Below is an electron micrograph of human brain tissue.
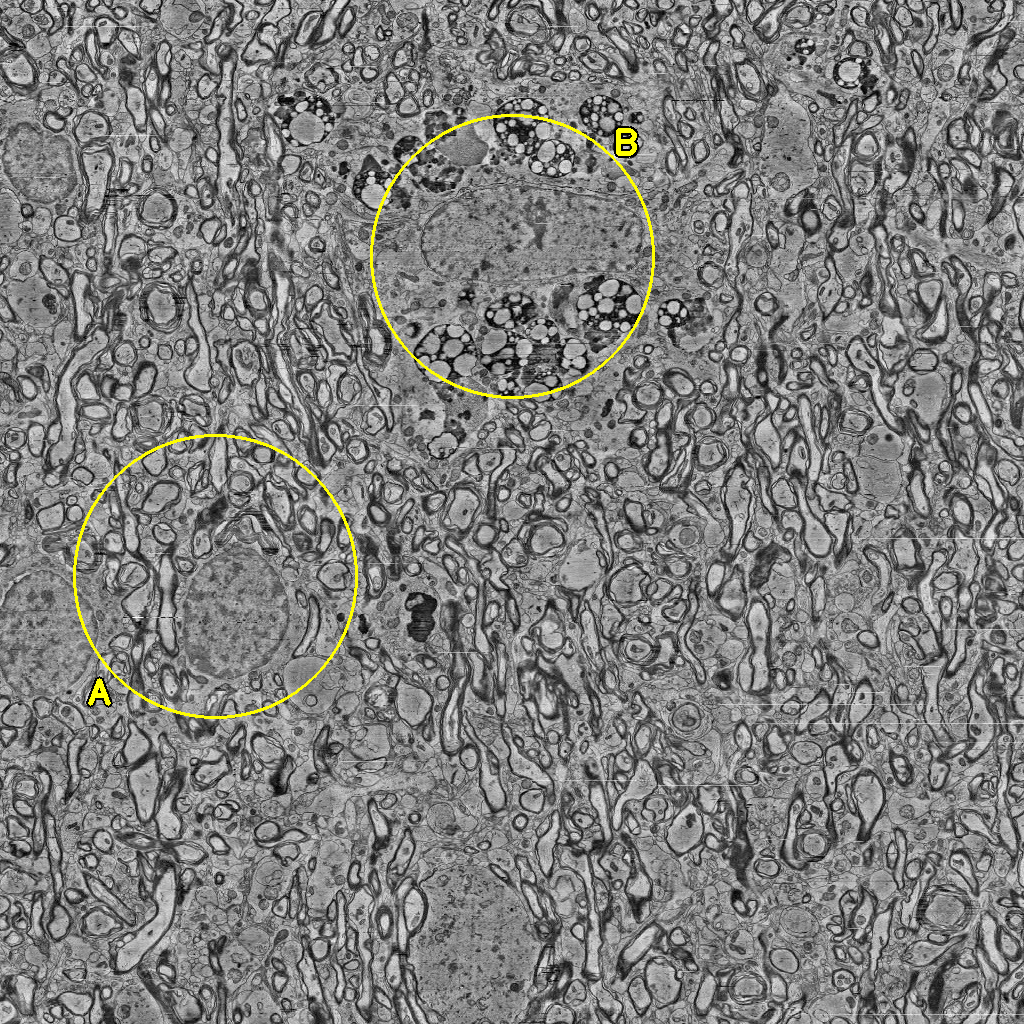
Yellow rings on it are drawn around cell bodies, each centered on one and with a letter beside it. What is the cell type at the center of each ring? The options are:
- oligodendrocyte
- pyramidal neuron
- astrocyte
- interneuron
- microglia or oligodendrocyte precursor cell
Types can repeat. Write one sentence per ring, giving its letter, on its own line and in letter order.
At the center of ring A is an oligodendrocyte.
At the center of ring B is an astrocyte.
